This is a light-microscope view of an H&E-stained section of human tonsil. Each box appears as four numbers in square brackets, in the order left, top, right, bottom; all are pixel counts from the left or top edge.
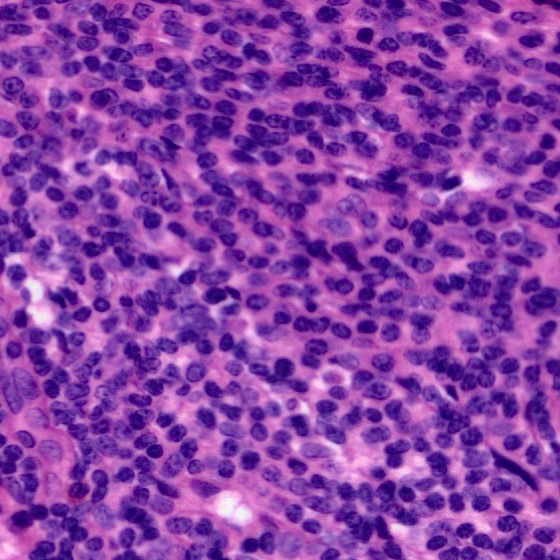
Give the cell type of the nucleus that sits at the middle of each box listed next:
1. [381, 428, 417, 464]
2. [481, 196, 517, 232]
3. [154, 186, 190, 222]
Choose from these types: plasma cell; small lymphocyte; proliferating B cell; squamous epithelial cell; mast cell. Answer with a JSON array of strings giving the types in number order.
["small lymphocyte", "plasma cell", "plasma cell"]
